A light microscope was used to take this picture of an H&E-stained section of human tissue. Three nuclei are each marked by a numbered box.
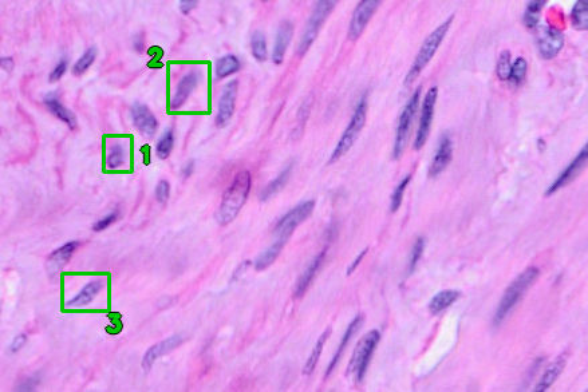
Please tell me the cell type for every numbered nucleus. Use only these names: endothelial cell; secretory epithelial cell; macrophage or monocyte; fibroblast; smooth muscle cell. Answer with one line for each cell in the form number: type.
1: smooth muscle cell
2: smooth muscle cell
3: fibroblast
